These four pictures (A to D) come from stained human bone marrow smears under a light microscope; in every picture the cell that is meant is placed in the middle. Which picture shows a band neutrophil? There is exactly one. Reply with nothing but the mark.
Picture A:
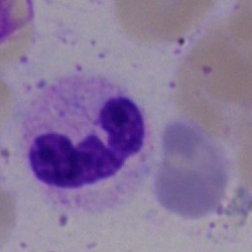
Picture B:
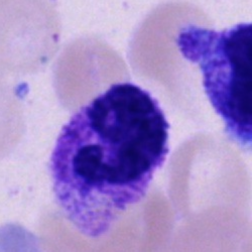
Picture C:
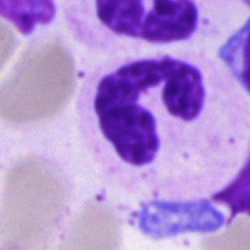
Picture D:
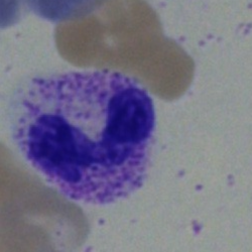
D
